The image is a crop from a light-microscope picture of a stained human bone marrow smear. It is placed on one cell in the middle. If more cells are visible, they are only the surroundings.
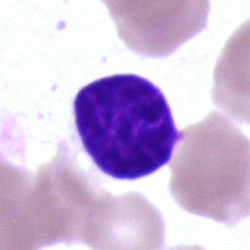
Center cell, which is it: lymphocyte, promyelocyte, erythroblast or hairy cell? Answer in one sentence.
Within this crop, a lymphocyte occupies the central position.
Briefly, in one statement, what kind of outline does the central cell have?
Irregularity marks the cell border, whether as raggedness or as projections.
